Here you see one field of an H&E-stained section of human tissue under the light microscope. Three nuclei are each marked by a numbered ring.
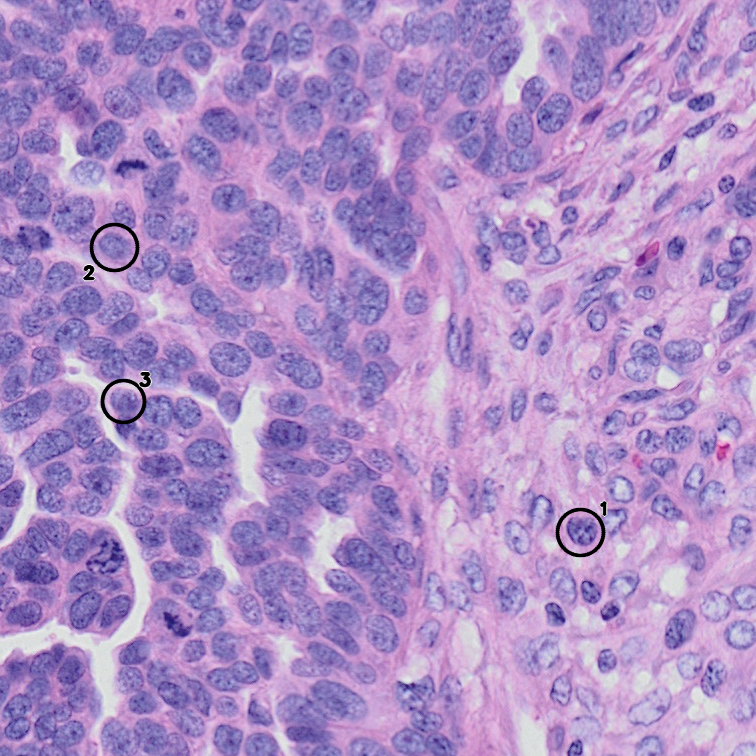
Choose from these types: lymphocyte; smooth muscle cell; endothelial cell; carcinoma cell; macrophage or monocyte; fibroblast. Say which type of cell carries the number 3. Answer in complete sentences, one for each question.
The cell carrying label 3 is identified as a carcinoma cell.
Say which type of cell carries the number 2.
Of the numbered cells, the one labelled 2 is a carcinoma cell.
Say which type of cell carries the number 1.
In the marked set, the cell given number 1 is a macrophage or monocyte.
